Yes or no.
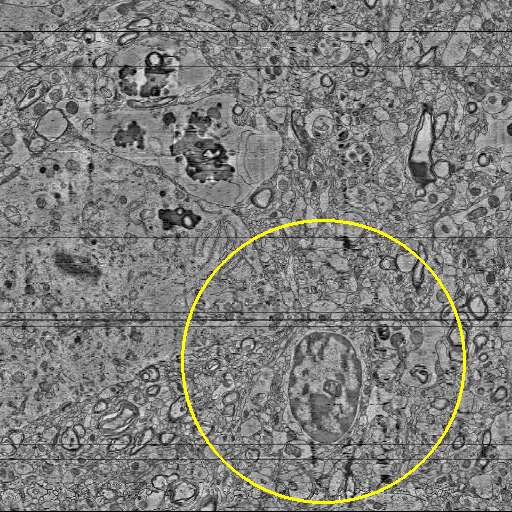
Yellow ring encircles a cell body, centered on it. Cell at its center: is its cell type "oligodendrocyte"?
no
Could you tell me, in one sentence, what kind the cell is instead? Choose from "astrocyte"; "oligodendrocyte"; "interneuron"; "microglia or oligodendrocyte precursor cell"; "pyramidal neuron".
The cell that the ring is centred on is a microglial cell or oligodendrocyte precursor cell.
